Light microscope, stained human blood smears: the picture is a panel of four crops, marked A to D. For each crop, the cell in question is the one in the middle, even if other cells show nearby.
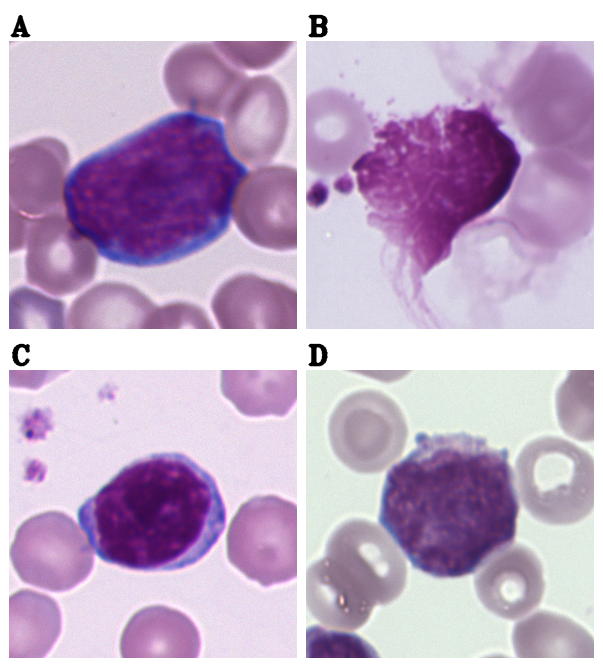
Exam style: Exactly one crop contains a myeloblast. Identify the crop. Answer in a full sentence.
The crop marked A is the one in which a myeloblast is shown.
